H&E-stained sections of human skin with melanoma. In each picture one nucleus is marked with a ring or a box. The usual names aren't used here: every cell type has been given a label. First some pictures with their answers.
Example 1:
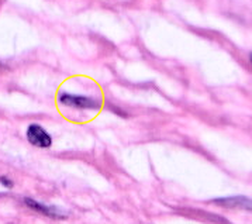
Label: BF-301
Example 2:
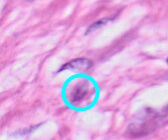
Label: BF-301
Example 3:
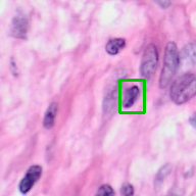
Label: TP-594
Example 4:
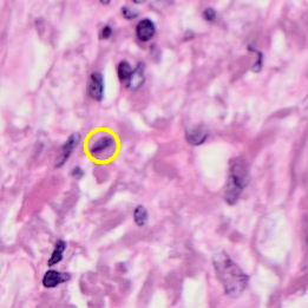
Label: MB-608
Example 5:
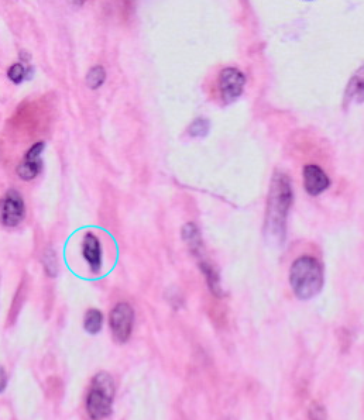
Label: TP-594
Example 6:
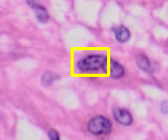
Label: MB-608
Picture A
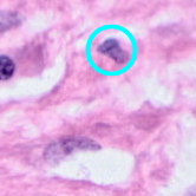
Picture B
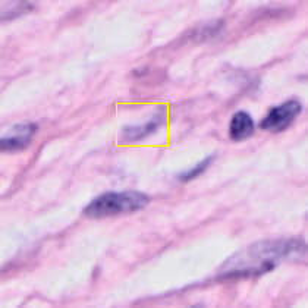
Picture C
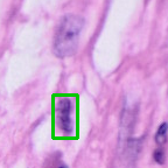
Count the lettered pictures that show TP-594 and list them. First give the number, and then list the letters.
0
